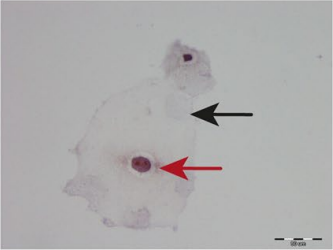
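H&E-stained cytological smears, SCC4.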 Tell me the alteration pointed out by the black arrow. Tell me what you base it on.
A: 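Ballooning degeneration. The arrow points at the margin of one very large, flattened cell with pale, washed-out cytoplasm. The cell is many times larger than its small central nucleus.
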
